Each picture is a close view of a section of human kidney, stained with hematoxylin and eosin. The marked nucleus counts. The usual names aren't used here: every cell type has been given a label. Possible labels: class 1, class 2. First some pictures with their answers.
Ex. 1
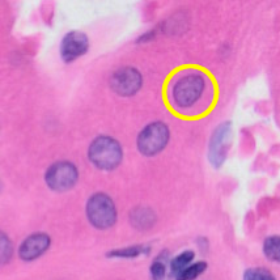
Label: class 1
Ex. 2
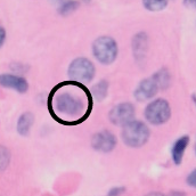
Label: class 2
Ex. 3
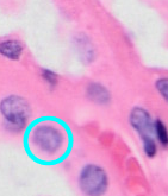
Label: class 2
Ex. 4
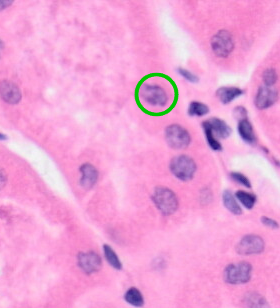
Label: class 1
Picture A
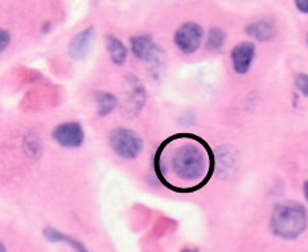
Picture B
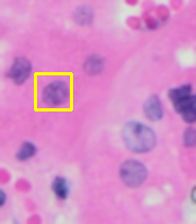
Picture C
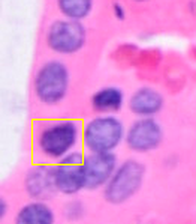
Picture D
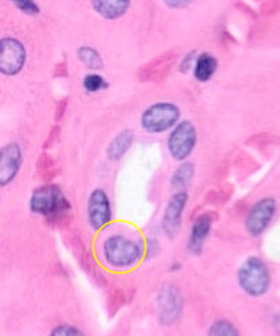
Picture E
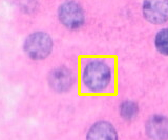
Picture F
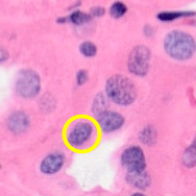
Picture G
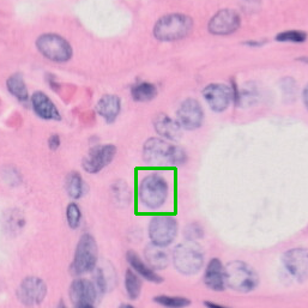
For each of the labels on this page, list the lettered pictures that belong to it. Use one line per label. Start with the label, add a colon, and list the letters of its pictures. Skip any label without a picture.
class 1: B, E
class 2: A, C, D, F, G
